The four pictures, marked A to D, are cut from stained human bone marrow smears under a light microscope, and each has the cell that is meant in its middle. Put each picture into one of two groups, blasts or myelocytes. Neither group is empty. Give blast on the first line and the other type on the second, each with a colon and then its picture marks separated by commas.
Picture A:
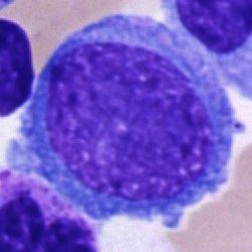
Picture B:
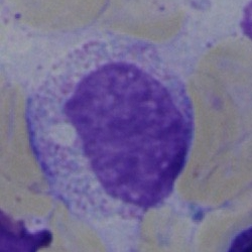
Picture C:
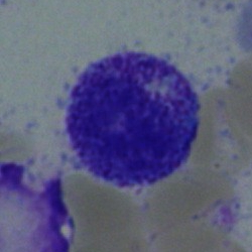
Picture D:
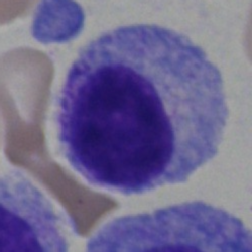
blast: A
myelocyte: B, C, D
